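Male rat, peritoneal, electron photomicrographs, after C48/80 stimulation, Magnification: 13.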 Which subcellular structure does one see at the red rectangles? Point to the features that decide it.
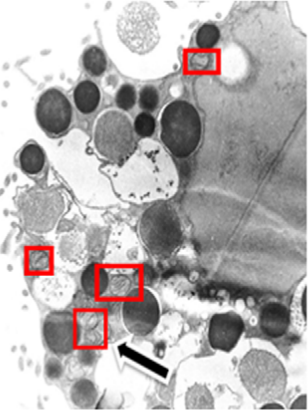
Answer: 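Each box holds a small oval organelle with internal membranes. The boxed organelles lie near the cell margin and the clear spaces. So: mitochondria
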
